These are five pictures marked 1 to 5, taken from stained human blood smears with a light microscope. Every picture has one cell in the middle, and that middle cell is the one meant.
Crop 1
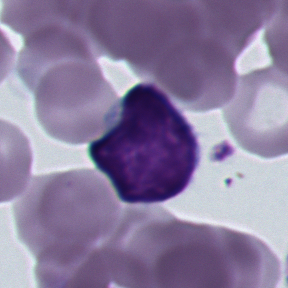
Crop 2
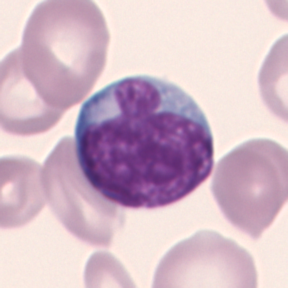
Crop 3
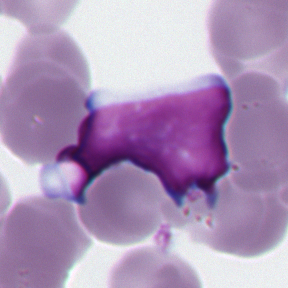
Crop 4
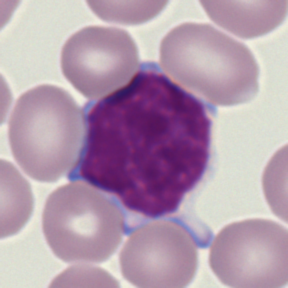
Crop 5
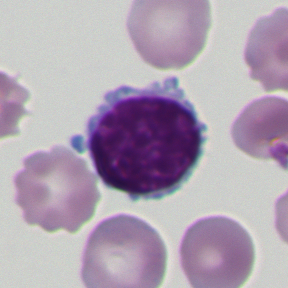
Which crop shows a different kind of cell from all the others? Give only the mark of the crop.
2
